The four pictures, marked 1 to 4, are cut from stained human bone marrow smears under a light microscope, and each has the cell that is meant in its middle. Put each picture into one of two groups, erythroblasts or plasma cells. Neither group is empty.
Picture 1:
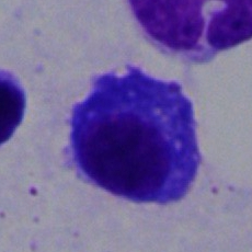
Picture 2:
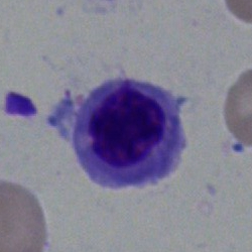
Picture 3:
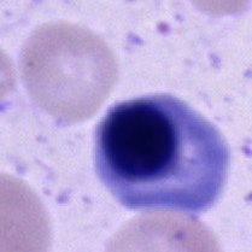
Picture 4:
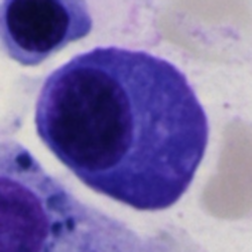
1: plasma cell
2: erythroblast
3: erythroblast
4: plasma cell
